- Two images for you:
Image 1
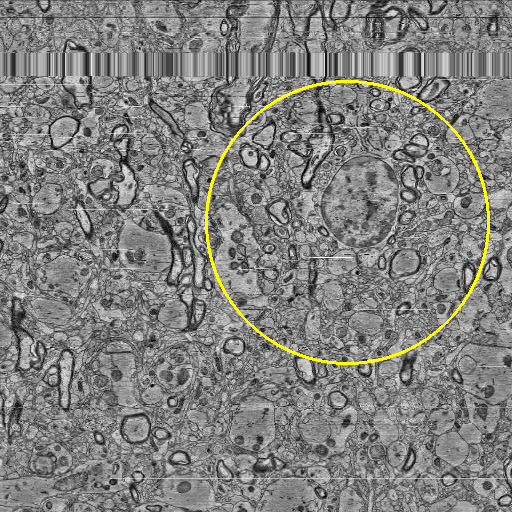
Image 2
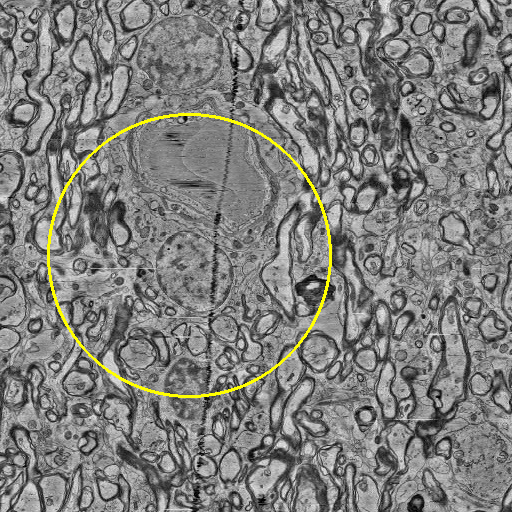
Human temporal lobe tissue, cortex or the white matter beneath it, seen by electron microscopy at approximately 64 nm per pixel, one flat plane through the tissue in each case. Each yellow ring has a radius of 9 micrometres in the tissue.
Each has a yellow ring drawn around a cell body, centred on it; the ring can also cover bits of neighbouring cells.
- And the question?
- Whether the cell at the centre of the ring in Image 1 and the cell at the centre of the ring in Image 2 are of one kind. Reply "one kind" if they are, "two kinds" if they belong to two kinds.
one kind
